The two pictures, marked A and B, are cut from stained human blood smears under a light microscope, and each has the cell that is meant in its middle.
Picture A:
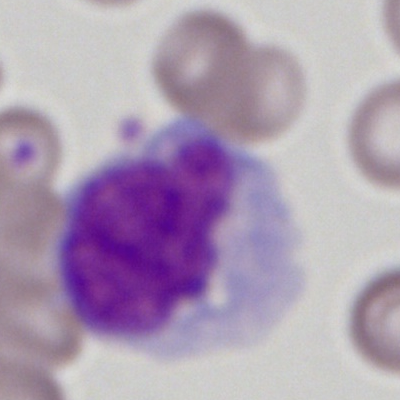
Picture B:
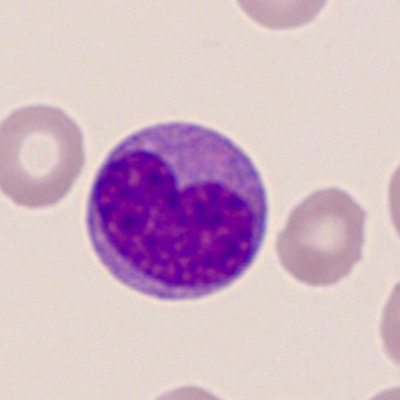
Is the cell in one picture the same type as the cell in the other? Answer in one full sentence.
Yes; the cells in both pictures are monocytes.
